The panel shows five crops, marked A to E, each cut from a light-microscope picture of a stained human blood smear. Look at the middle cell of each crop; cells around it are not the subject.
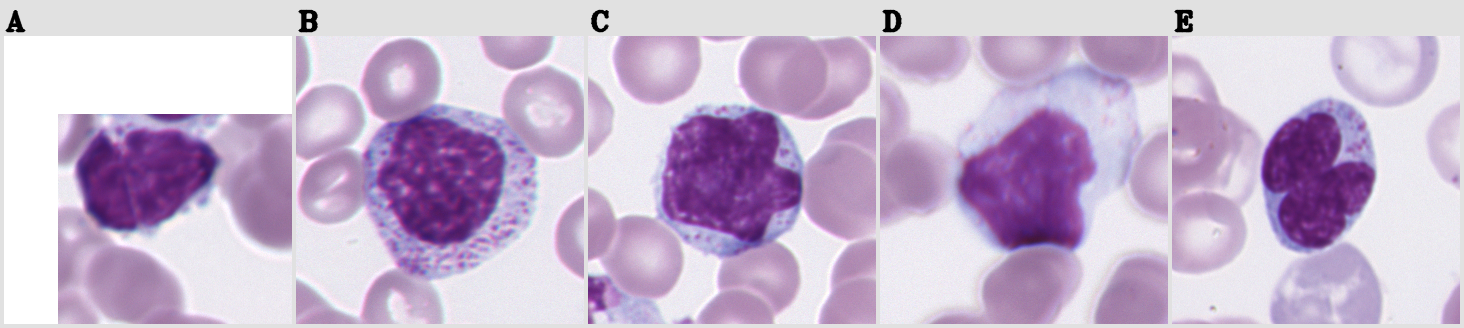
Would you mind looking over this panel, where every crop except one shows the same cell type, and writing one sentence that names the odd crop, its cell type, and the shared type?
All the crops contain large granular lymphocytes save crop B, where there is a myelocyte.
